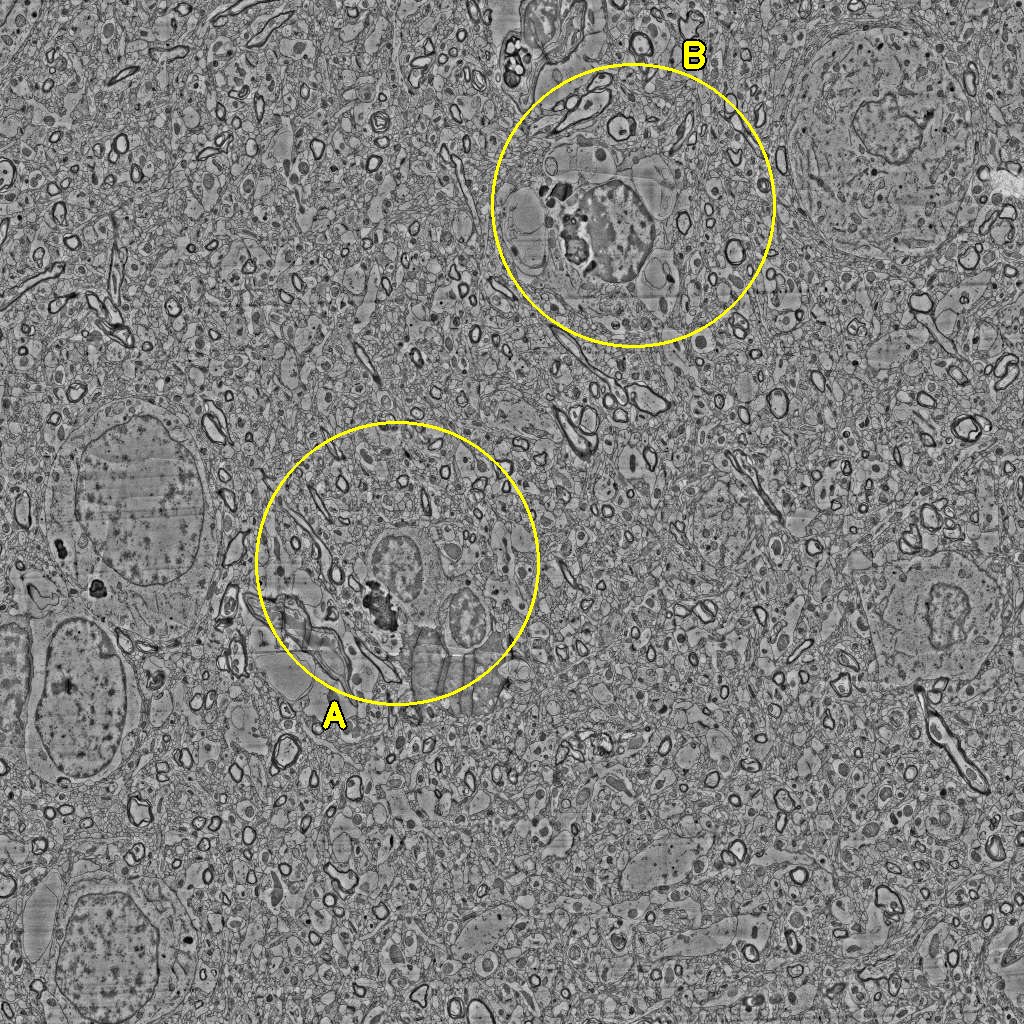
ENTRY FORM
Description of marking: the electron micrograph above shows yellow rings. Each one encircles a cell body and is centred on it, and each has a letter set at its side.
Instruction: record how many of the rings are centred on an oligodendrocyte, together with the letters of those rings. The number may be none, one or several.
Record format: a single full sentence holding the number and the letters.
Centred on an oligodendrocyte is a single ring, and the letter next to it is A.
